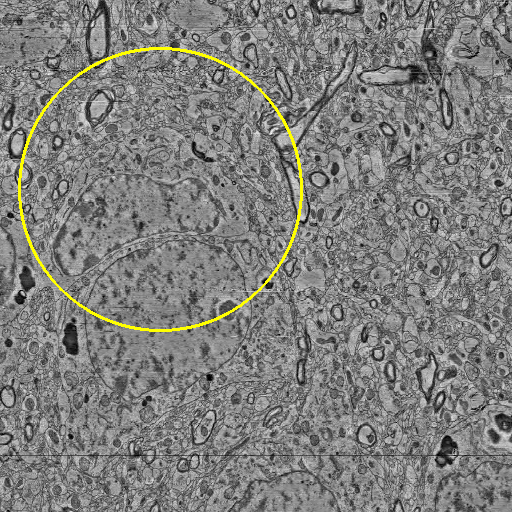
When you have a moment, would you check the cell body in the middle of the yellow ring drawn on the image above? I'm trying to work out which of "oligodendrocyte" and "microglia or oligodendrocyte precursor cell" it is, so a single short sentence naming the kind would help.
This cell body belongs to a microglial cell or oligodendrocyte precursor cell.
